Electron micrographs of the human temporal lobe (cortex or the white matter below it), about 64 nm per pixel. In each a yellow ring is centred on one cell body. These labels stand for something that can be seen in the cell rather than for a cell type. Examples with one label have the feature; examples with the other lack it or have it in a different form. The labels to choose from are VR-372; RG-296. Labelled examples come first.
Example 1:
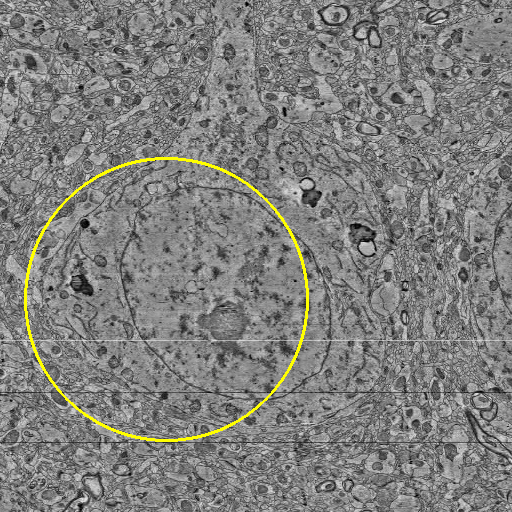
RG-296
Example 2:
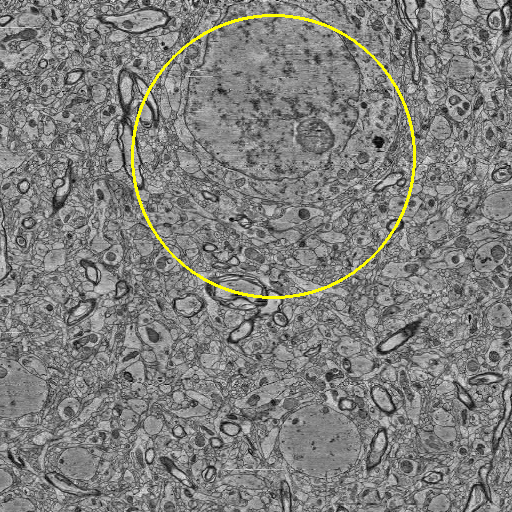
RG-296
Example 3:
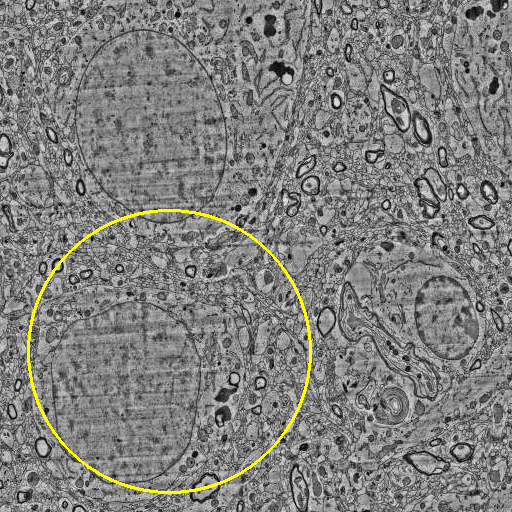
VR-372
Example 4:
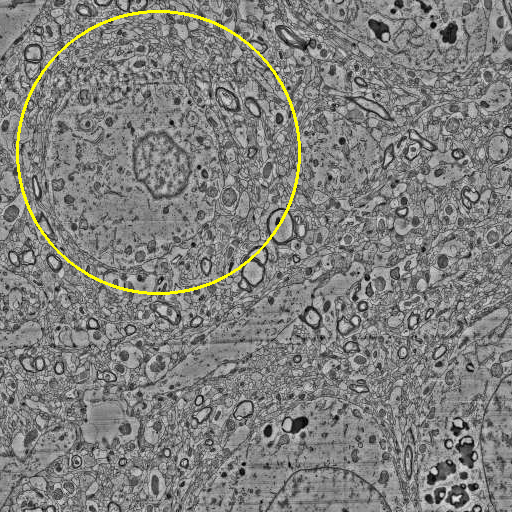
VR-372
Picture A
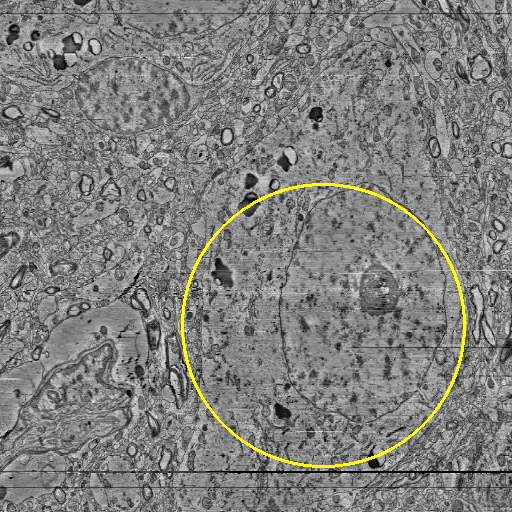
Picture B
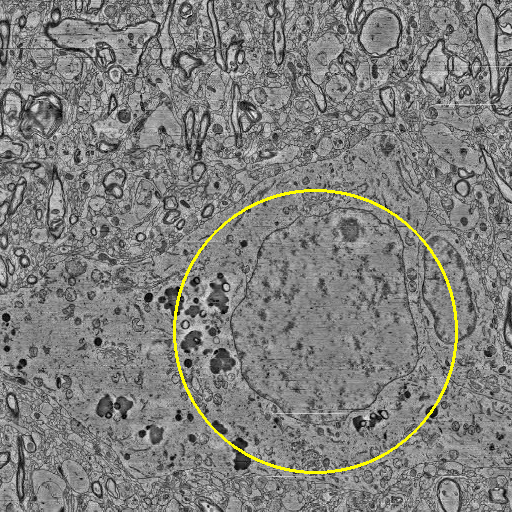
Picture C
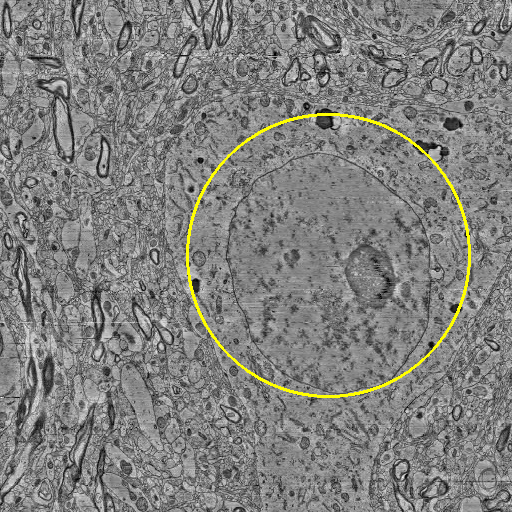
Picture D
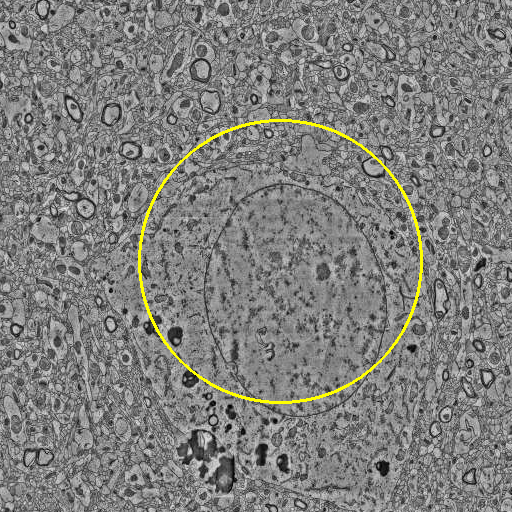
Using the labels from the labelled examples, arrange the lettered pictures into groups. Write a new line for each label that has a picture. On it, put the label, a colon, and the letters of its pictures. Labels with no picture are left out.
RG-296: A, B, C, D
